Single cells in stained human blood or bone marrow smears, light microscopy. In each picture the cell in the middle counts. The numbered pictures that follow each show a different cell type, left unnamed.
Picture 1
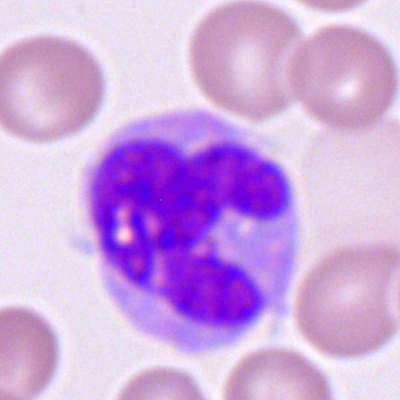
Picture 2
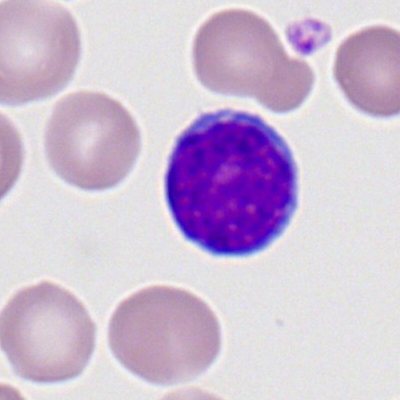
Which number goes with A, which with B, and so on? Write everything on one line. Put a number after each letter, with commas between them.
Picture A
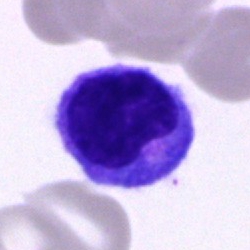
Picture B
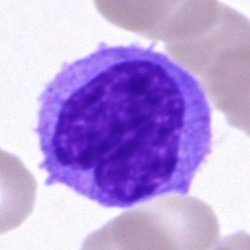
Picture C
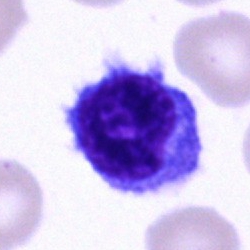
A 1, B 1, C 2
